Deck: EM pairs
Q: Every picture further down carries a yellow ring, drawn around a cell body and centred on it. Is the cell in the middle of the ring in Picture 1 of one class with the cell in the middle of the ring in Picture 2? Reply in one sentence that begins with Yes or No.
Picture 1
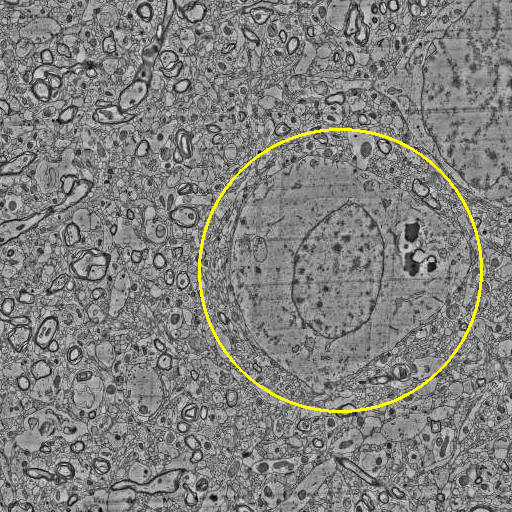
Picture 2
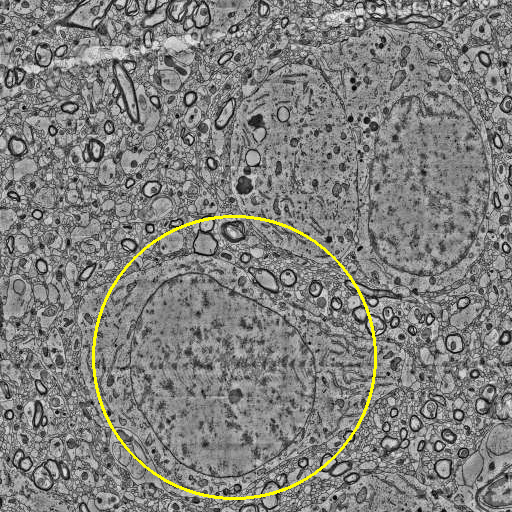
Yes, the cell centred in the ring of Picture 1 and the one in Picture 2 belong to one class.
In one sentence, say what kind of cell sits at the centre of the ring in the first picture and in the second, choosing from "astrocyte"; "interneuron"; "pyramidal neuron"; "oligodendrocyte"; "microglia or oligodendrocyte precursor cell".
Each cell, in the first picture and the second, is a pyramidal neuron.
